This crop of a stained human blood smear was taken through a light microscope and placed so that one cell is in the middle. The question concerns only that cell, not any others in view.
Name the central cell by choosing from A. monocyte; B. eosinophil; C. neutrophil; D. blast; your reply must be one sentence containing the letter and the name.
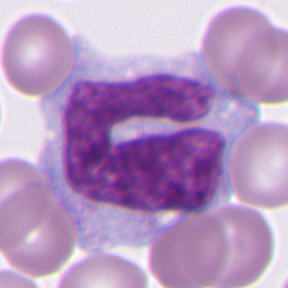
The one cell at the centre is a monocyte, as correctly stated in option A.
